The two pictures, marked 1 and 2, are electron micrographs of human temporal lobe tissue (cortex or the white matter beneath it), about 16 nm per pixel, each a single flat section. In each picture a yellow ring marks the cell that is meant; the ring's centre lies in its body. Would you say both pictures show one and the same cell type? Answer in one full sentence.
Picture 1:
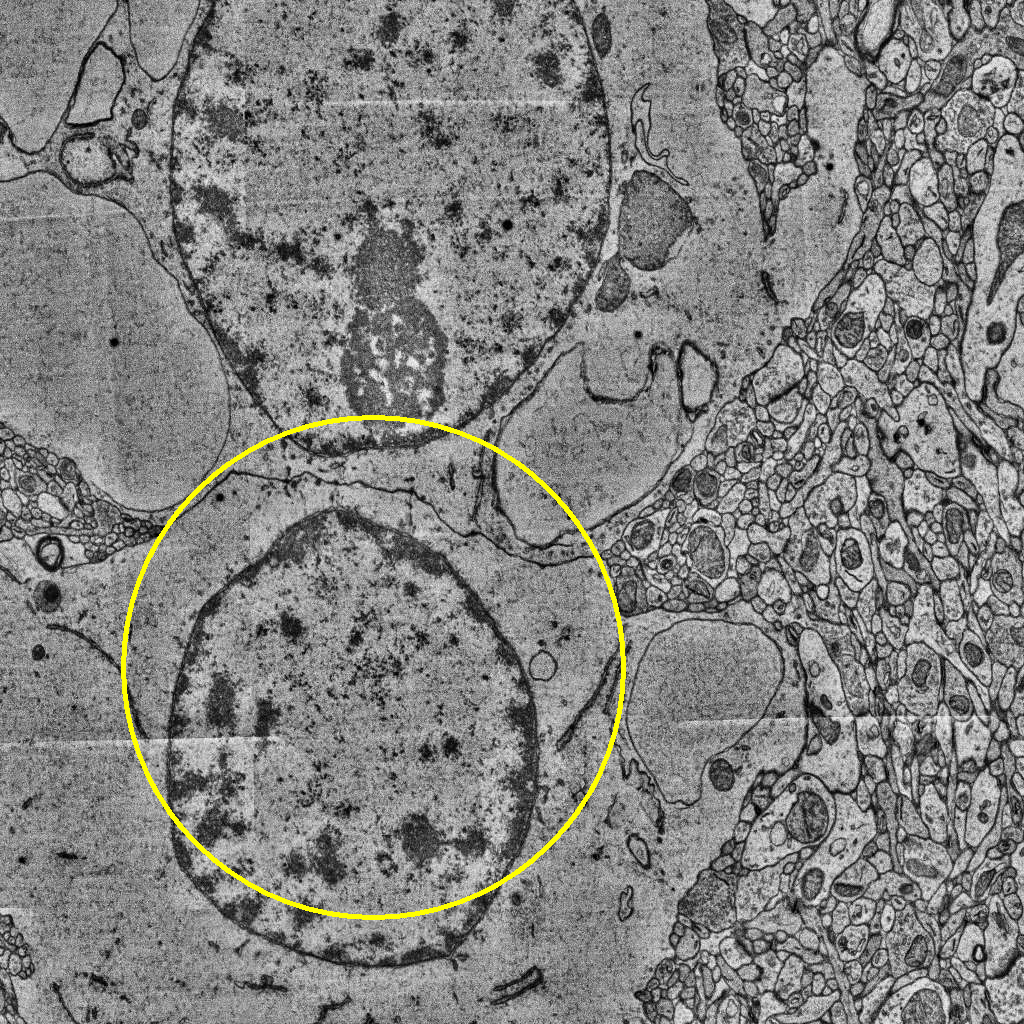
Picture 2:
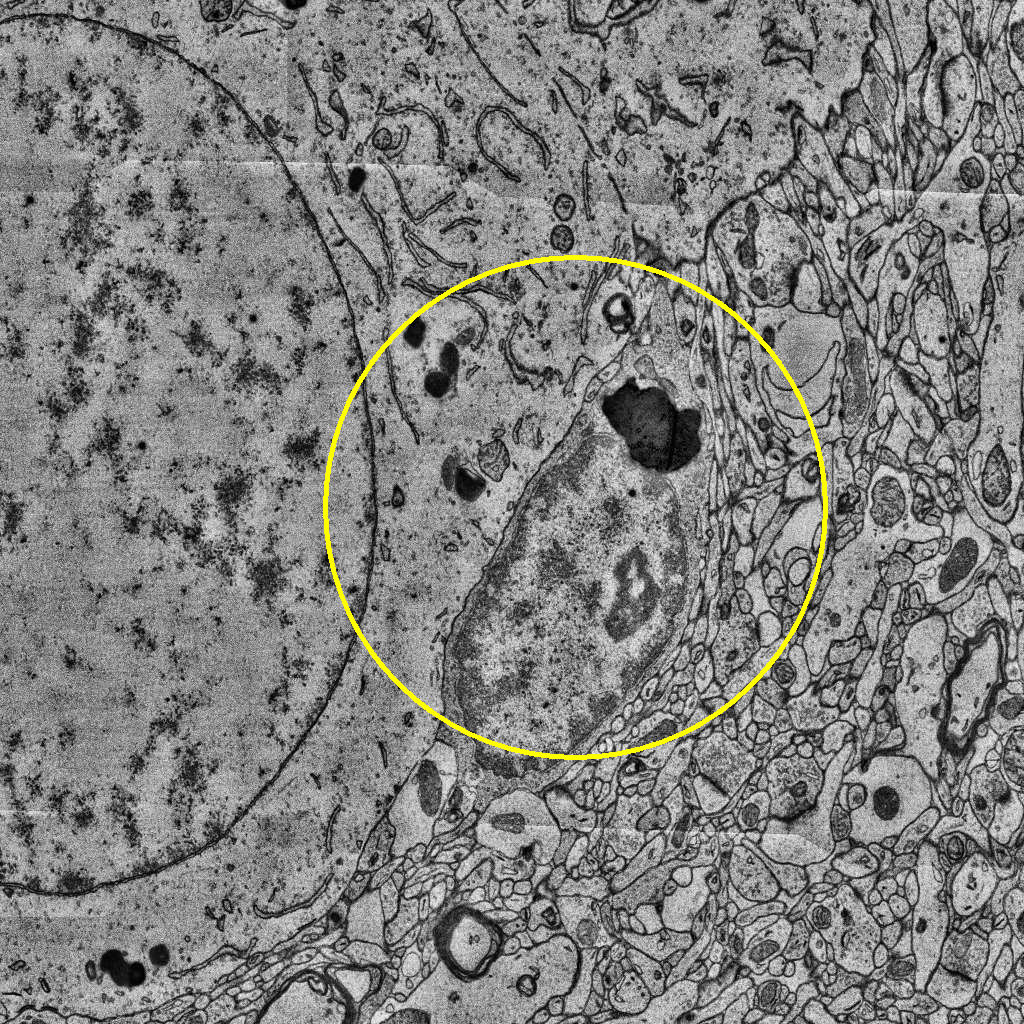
No, picture 1 shows an astrocyte and picture 2 shows an oligodendrocyte.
